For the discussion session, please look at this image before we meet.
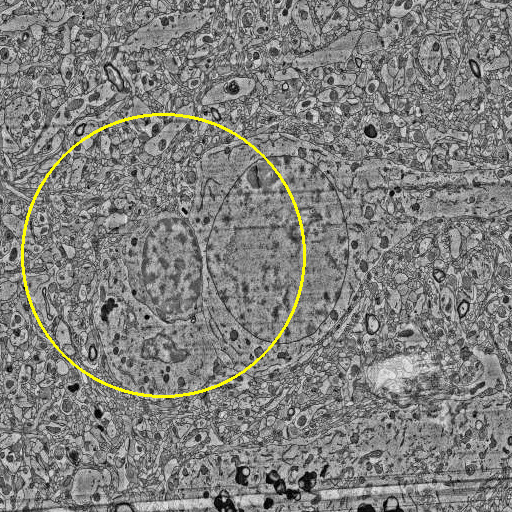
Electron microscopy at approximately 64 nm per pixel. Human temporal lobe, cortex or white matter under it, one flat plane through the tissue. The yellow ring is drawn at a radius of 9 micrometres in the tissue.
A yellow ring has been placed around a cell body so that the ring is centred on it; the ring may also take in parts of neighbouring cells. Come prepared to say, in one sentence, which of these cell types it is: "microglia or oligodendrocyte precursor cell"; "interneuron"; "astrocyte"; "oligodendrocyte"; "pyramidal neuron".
The cell centred in the ring is an oligodendrocyte.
